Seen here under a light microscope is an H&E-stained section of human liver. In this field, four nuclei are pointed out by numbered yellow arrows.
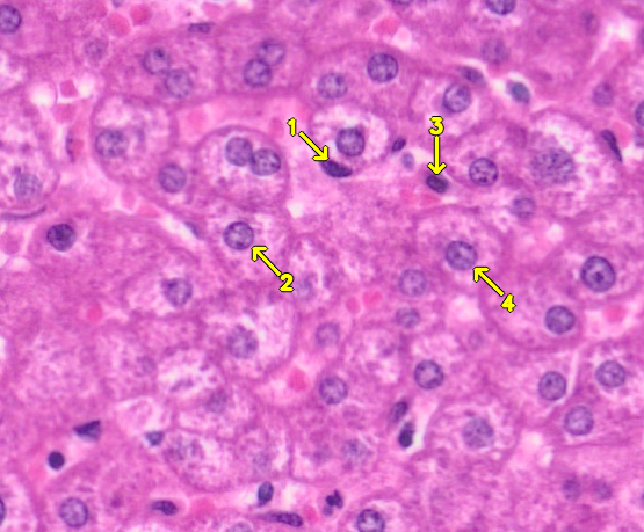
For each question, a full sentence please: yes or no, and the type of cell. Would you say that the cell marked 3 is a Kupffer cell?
Yes, in this tissue section, number 3 is a Kupffer cell.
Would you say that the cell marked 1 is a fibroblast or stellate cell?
Yes, the cell carrying label 1 is a fibroblast or stellate cell.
